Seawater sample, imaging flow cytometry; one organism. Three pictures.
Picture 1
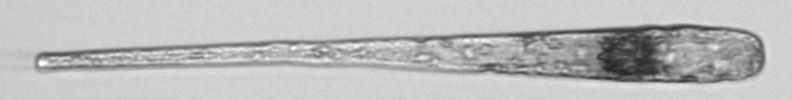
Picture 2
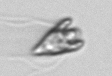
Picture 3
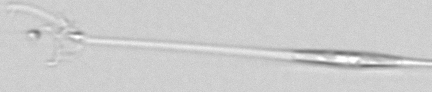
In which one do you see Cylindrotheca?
In picture 3.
